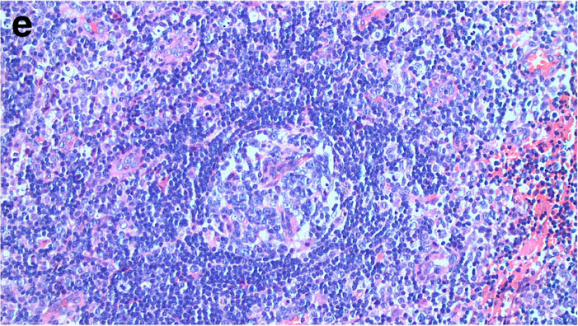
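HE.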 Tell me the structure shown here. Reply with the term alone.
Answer: Follicular germinal centers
